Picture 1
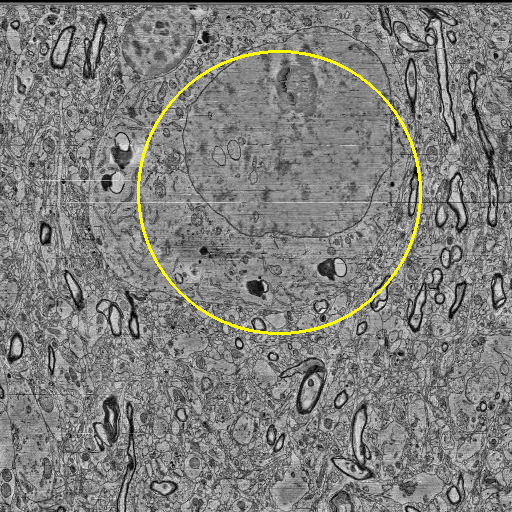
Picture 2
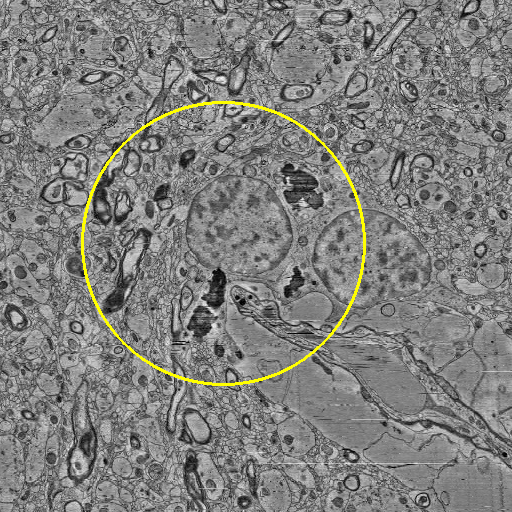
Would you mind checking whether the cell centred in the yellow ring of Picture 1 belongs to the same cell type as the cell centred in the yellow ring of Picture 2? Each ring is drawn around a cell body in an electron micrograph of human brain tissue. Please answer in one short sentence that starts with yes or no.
No, the two cells are of two types.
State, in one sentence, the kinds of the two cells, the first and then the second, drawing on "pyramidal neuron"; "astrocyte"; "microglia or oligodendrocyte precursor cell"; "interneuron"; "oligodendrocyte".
The ring in the second picture is centred on an oligodendrocyte, the ring in the first on a pyramidal neuron.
